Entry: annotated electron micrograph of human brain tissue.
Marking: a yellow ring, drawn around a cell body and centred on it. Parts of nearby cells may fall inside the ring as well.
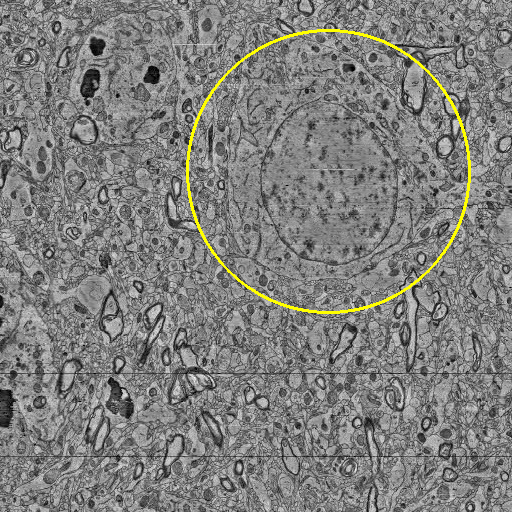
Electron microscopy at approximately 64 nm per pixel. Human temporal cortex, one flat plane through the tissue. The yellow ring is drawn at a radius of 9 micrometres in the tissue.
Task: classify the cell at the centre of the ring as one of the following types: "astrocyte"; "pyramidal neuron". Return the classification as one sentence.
The marked cell is classified as a pyramidal neuron.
